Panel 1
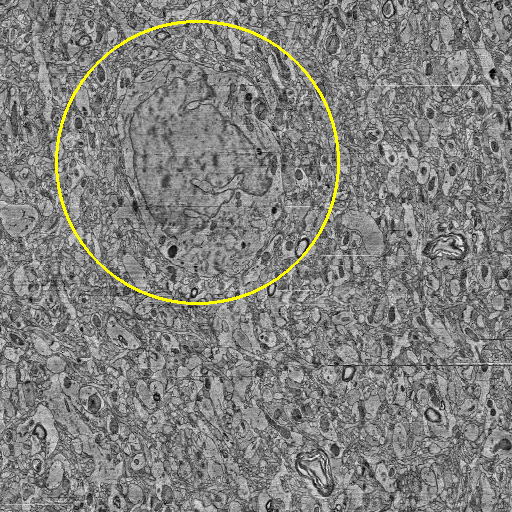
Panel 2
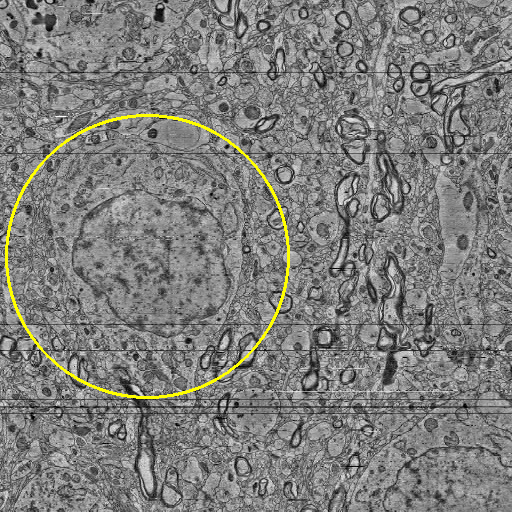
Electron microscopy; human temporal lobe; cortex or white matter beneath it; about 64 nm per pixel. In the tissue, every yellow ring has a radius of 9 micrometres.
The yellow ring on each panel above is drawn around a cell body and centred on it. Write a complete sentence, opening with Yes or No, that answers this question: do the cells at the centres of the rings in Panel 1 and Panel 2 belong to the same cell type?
Yes, both cells belong to the same cell type.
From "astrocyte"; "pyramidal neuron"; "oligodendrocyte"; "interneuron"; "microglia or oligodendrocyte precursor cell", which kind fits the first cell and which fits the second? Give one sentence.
Each of the ringed cells, first and second, is an interneuron.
